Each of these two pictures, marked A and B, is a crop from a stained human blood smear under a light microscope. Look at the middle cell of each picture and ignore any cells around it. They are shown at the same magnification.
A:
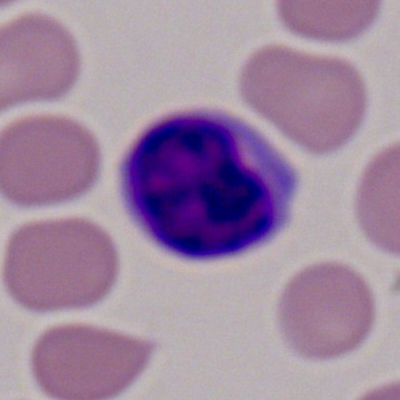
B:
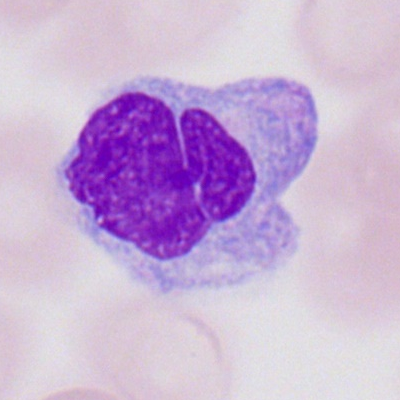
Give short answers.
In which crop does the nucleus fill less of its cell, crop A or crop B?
B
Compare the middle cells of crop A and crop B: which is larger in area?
B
